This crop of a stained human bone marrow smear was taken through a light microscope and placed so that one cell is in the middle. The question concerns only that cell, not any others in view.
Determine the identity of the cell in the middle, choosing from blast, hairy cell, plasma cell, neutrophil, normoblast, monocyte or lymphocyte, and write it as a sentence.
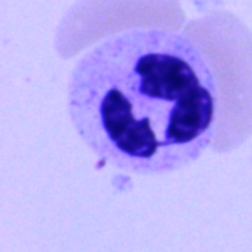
The cell shown in the center of this light-microscope crop is a neutrophil.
